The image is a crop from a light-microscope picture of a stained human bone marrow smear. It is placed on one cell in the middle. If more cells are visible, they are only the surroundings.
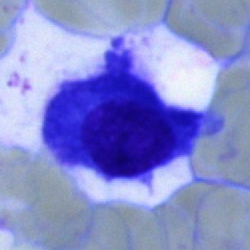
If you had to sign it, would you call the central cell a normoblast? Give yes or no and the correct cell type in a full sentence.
No, instead of a normoblast, the middle cell is a plasma cell.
